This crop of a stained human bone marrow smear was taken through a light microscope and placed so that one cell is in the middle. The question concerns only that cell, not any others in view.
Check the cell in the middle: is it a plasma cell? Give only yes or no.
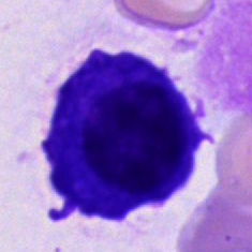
yes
